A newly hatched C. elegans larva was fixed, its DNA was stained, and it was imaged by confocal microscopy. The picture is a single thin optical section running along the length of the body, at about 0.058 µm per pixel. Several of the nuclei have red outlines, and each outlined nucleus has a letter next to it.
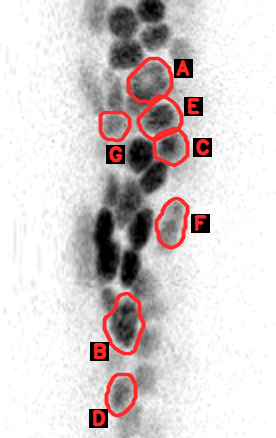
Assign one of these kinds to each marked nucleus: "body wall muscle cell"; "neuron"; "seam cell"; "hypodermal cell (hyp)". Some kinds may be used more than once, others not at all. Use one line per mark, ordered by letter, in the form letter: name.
A: seam cell
B: seam cell
C: neuron
D: hypodermal cell (hyp)
E: neuron
F: body wall muscle cell
G: neuron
